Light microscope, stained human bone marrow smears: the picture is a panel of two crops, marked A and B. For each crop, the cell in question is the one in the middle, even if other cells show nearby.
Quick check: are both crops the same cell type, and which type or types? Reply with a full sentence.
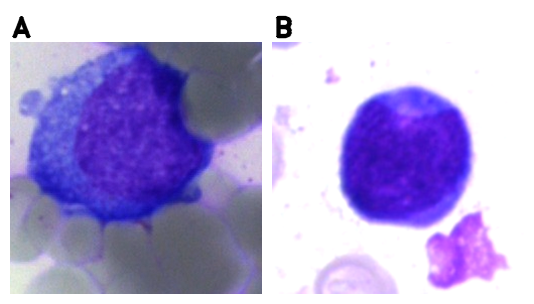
Yes, it is blasts that sit at the centre of both crops.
